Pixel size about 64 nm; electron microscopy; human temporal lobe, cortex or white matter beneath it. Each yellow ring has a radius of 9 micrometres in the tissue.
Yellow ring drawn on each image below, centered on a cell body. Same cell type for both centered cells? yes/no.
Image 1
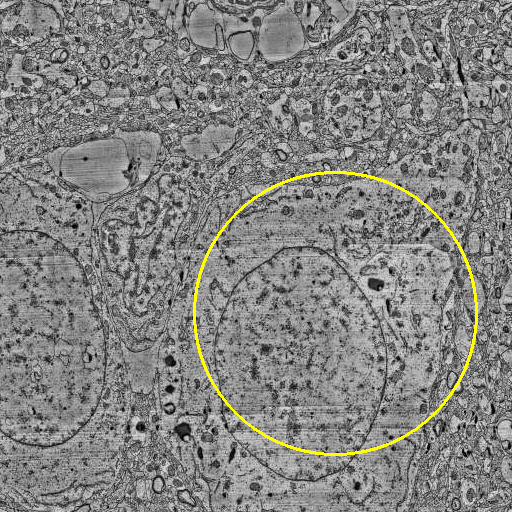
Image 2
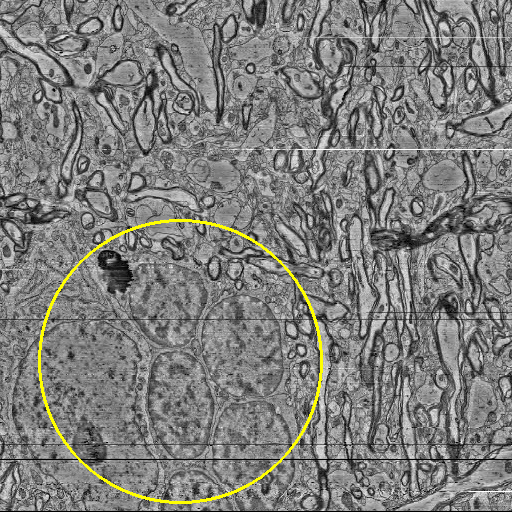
no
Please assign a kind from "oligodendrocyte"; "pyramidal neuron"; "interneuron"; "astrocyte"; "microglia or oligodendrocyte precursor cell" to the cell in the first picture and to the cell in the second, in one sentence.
In the first picture we have a pyramidal neuron, and in the second, an oligodendrocyte.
